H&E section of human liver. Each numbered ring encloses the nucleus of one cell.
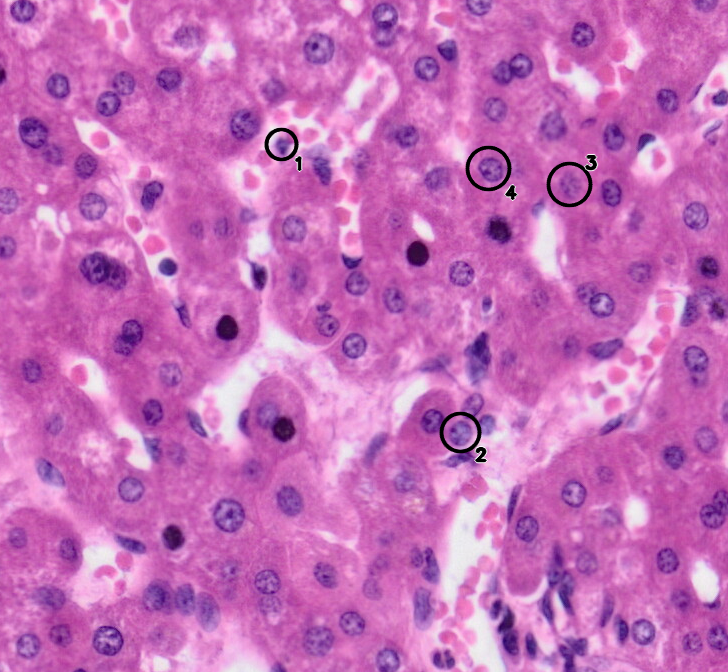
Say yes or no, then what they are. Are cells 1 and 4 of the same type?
No, what is marked as cell 1 is a lymphocyte, and what is marked as cell 4 is a hepatocyte.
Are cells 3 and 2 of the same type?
No, what is marked as cell 3 is a hepatocyte, and what is marked as cell 2 is a cholangiocyte.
